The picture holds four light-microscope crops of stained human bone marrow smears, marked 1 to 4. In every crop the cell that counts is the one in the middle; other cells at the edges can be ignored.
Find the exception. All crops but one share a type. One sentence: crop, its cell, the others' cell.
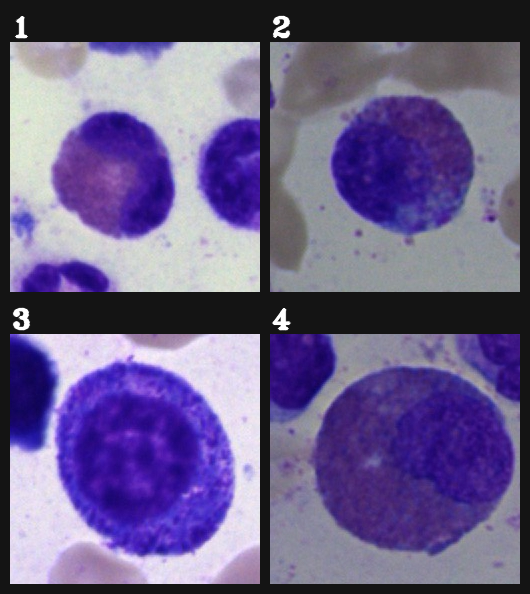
The set is made up of eosinophils, with the single exception of crop 3, which is a promyelocyte.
